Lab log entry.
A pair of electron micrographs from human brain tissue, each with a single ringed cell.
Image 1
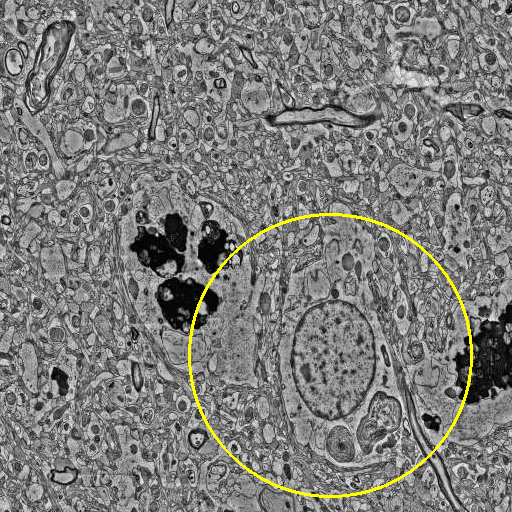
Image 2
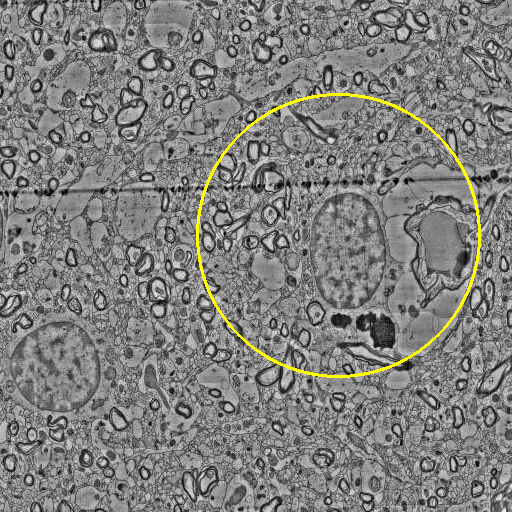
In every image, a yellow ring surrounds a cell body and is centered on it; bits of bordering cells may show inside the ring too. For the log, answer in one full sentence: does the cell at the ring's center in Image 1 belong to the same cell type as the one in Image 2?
No, the cells at the ring centers in Image 1 and Image 2 are of separate types.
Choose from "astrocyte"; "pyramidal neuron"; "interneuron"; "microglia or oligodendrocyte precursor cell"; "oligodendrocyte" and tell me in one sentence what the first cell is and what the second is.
What the first ring is centred on is an astrocyte; what the second ring is centred on is an oligodendrocyte.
